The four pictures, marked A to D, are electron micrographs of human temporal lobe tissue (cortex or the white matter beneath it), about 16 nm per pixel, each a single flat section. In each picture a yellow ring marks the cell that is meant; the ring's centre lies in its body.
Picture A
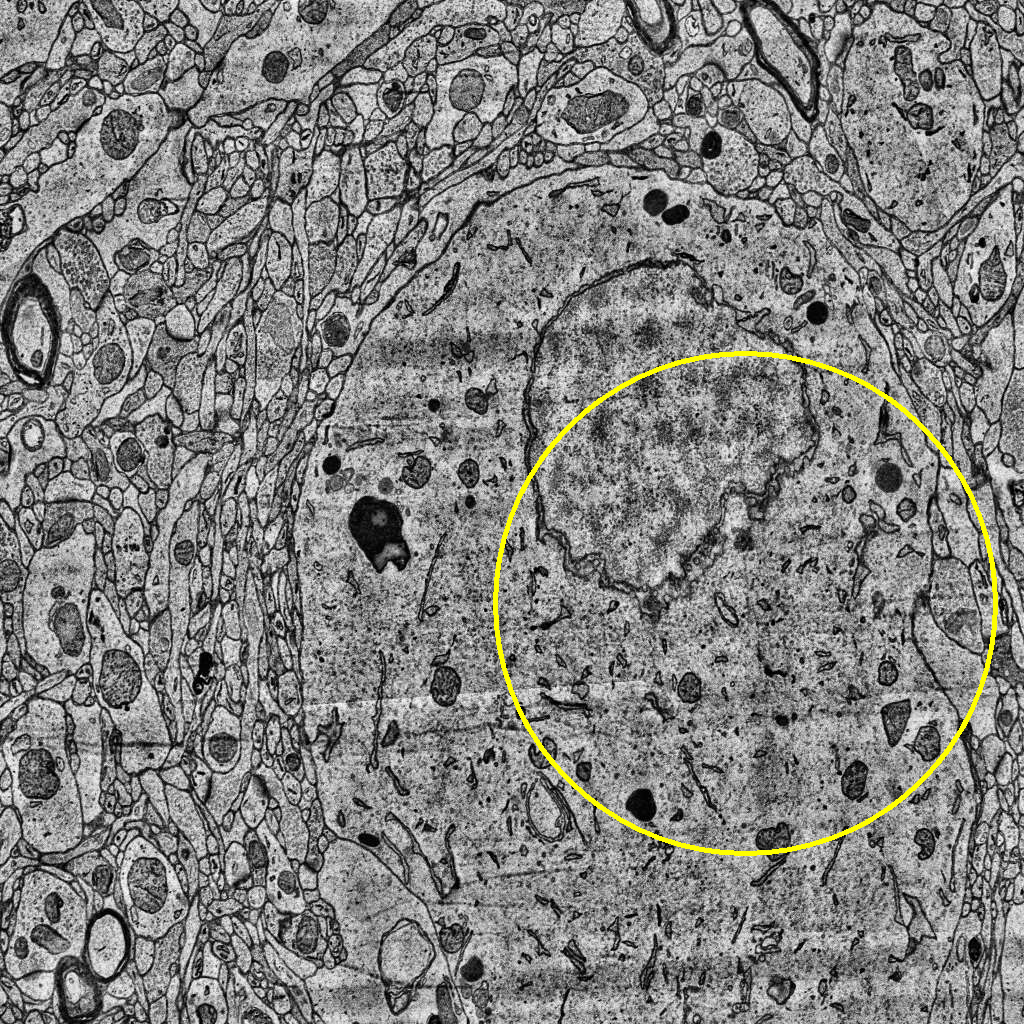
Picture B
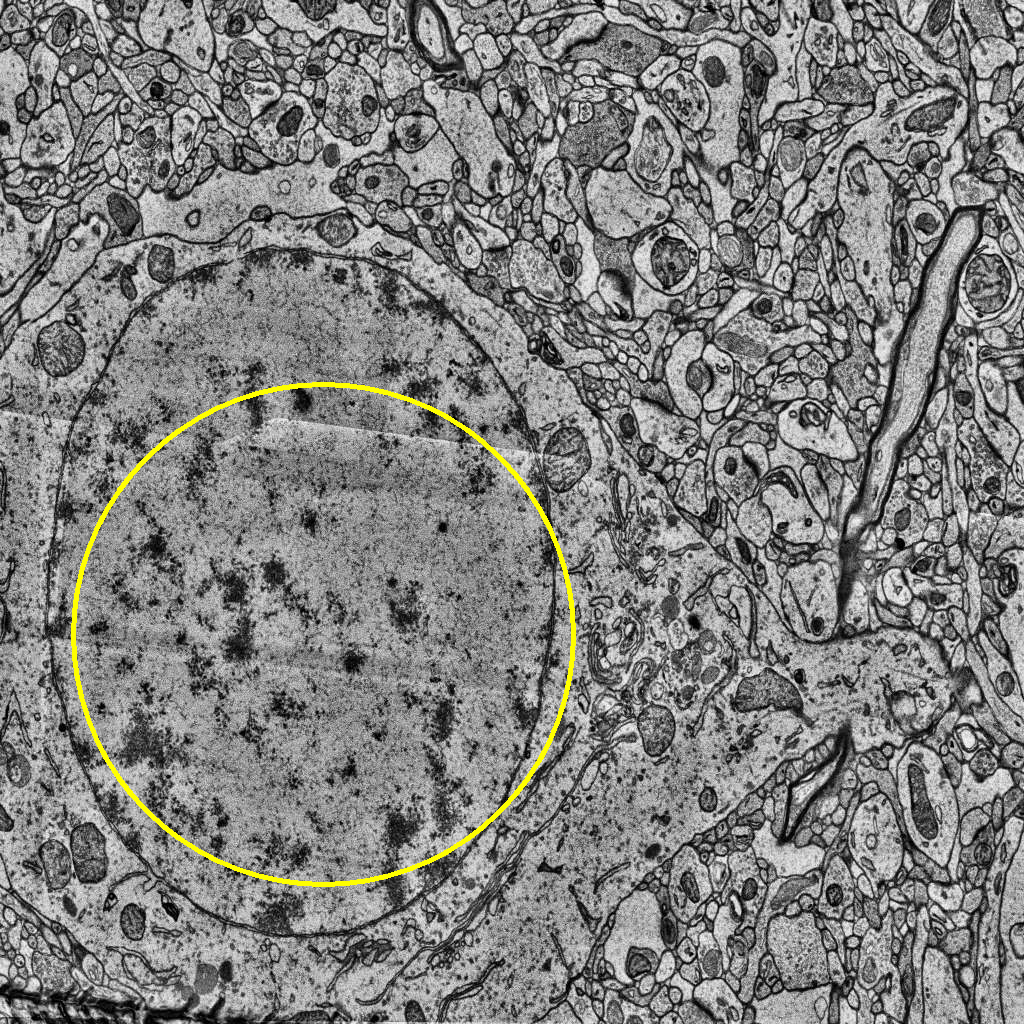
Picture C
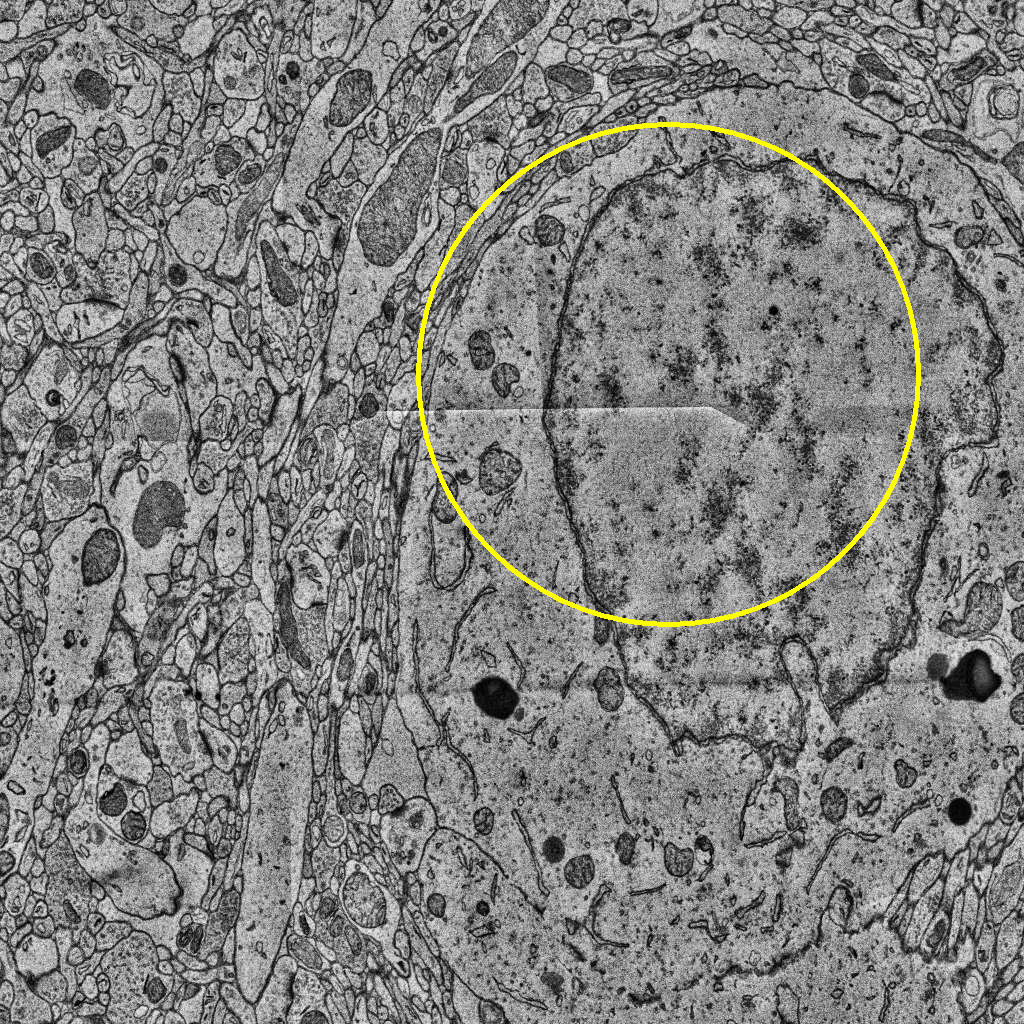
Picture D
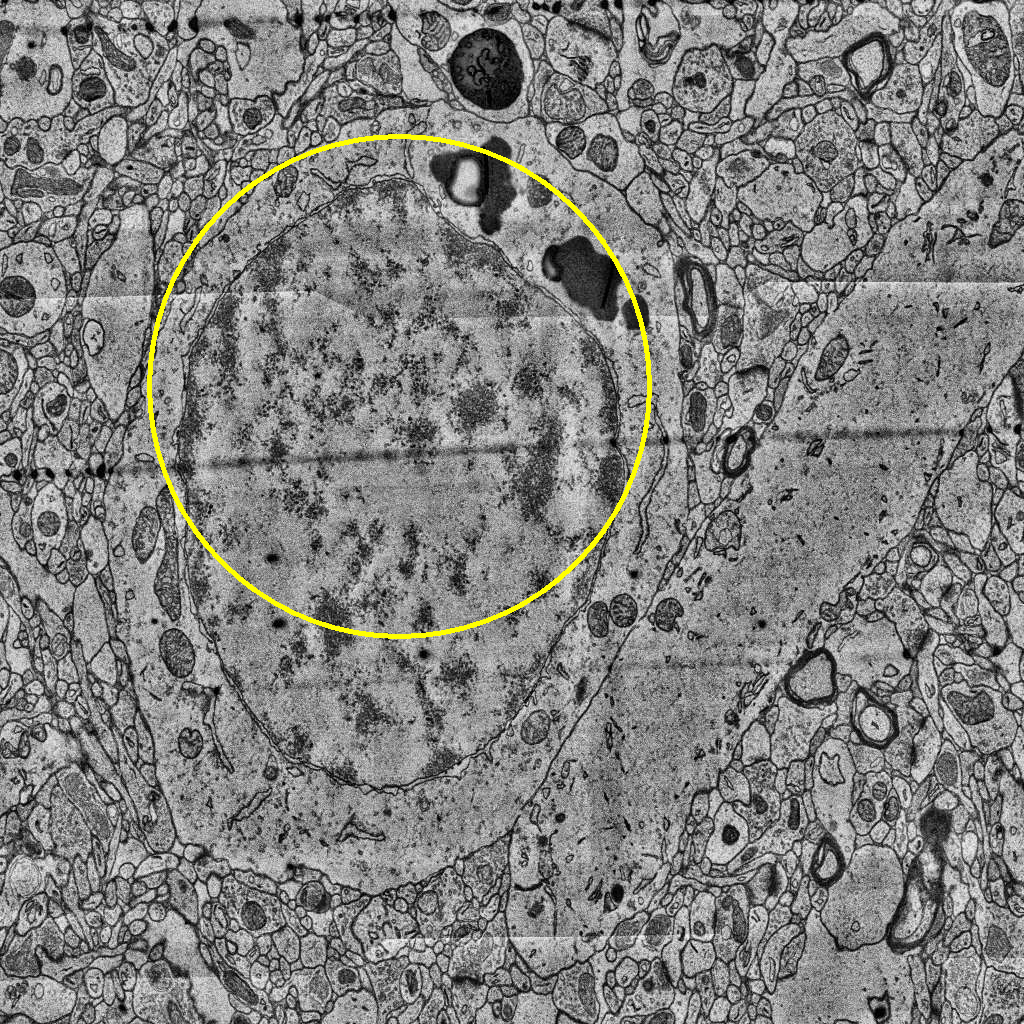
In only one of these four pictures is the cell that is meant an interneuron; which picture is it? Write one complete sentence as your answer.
The picture with the interneuron is D.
